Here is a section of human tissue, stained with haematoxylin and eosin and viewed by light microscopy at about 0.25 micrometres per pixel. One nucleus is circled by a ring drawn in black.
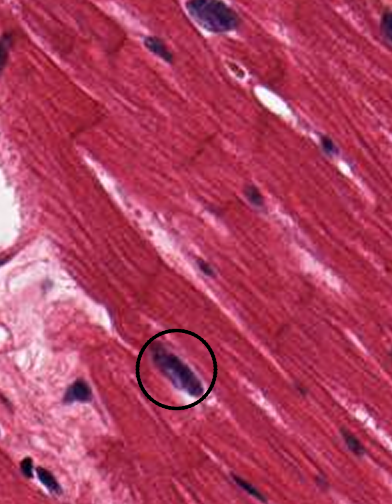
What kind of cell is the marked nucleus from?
cardiomyocyte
